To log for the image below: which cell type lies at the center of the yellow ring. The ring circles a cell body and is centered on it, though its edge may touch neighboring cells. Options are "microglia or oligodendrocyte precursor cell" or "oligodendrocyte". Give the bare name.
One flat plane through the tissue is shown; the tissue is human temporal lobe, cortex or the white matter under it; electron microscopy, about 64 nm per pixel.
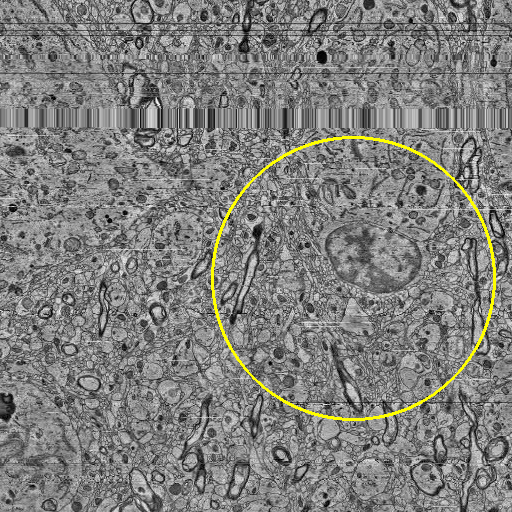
oligodendrocyte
